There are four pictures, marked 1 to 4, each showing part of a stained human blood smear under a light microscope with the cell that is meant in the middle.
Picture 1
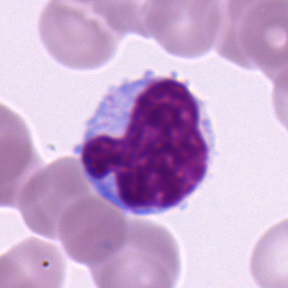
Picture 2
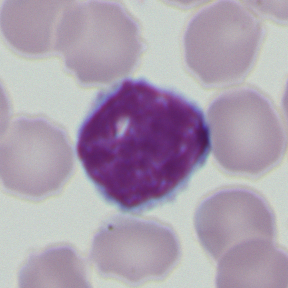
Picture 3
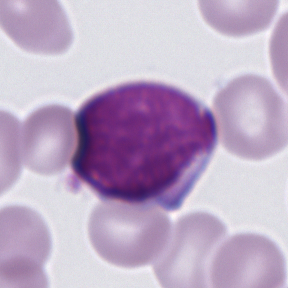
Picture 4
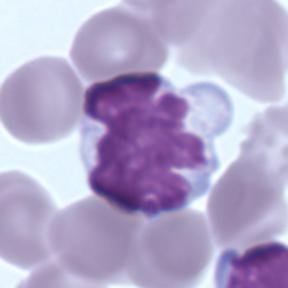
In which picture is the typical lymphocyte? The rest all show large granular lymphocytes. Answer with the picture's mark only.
2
